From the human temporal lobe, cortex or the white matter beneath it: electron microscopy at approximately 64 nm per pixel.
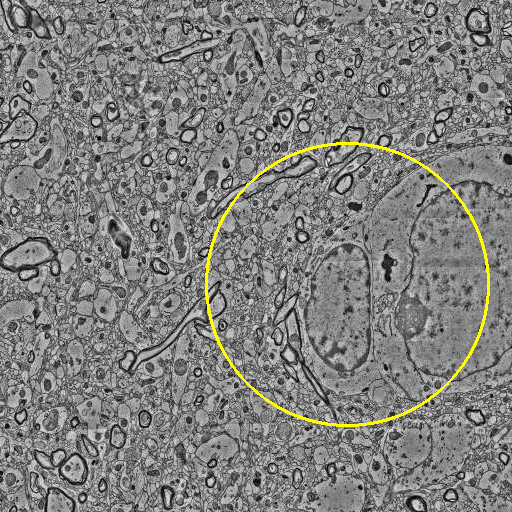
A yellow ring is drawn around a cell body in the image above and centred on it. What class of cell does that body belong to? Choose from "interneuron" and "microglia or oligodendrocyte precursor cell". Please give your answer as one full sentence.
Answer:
The yellow ring above is centred on the cell body of a microglial cell or oligodendrocyte precursor cell.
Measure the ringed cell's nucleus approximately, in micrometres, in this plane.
About 8 by 4 micrometres, the nucleus being clearly longer than it is wide in this plane.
